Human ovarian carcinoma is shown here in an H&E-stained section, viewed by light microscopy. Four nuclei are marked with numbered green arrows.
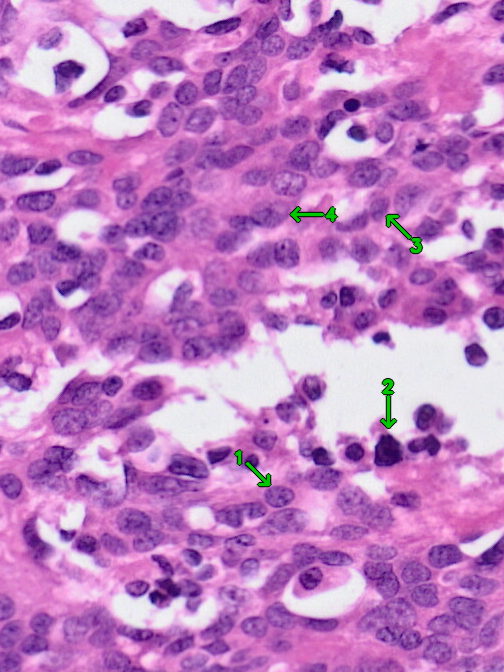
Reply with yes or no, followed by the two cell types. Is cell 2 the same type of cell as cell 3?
Yes, both are carcinoma cells.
